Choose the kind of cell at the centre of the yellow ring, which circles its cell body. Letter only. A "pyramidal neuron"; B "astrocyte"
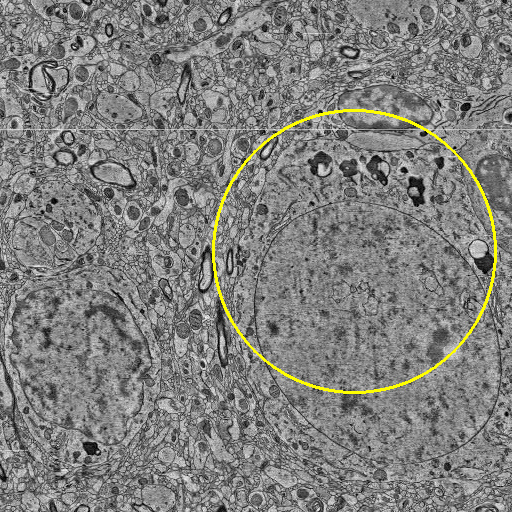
A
